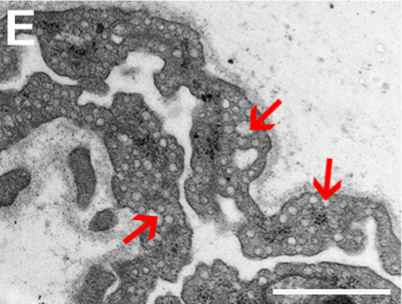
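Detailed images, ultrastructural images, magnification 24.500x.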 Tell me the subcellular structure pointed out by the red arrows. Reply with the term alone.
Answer: Caveolae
